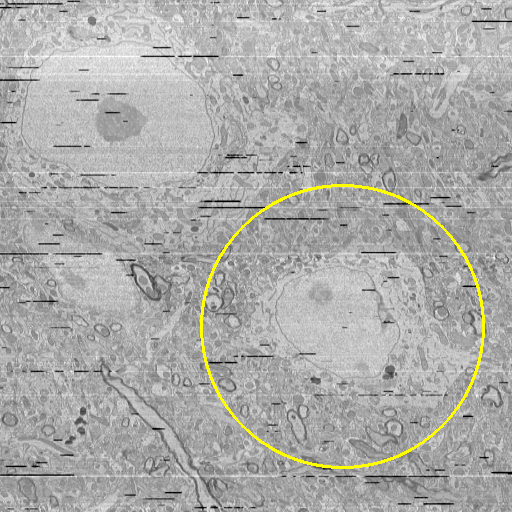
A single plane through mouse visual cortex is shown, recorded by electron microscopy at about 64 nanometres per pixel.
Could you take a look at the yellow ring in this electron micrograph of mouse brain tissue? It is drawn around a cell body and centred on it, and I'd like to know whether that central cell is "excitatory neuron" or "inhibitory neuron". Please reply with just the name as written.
excitatory neuron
